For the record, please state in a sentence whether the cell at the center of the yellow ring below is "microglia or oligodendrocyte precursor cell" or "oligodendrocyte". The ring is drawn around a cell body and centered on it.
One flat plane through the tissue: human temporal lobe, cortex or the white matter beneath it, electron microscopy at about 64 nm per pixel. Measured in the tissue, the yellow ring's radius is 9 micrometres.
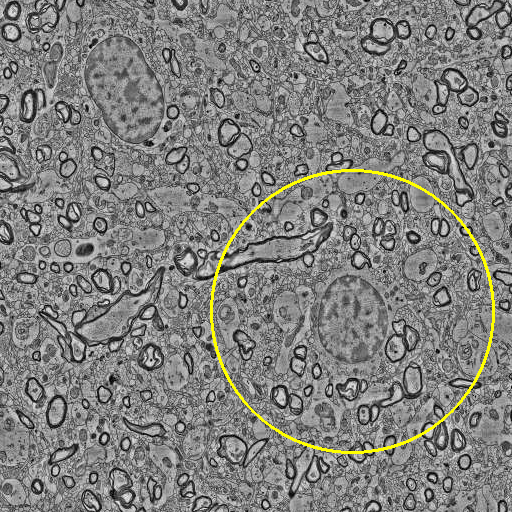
The cell at the ring's center is an oligodendrocyte.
